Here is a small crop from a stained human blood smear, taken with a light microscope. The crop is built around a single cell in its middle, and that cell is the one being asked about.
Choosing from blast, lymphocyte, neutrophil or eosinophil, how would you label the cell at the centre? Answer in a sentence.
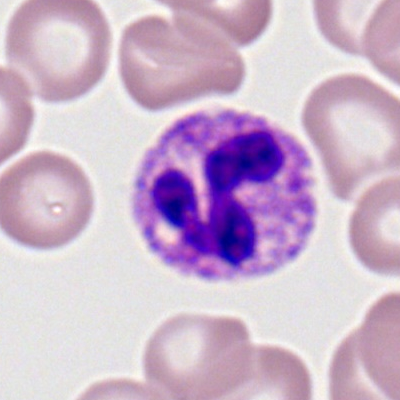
The cell featured at the centre of this crop is a neutrophil.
